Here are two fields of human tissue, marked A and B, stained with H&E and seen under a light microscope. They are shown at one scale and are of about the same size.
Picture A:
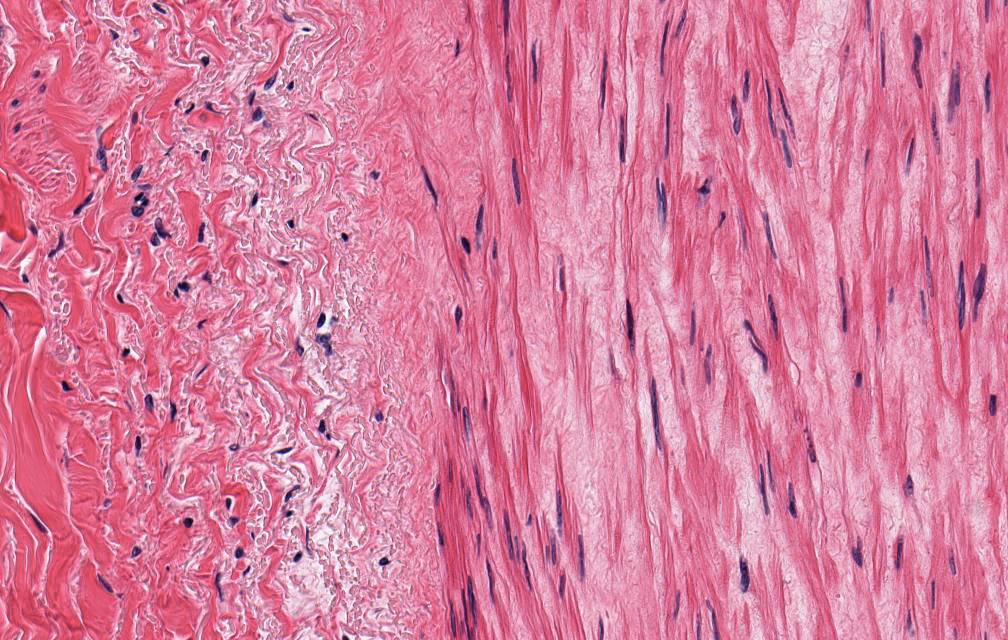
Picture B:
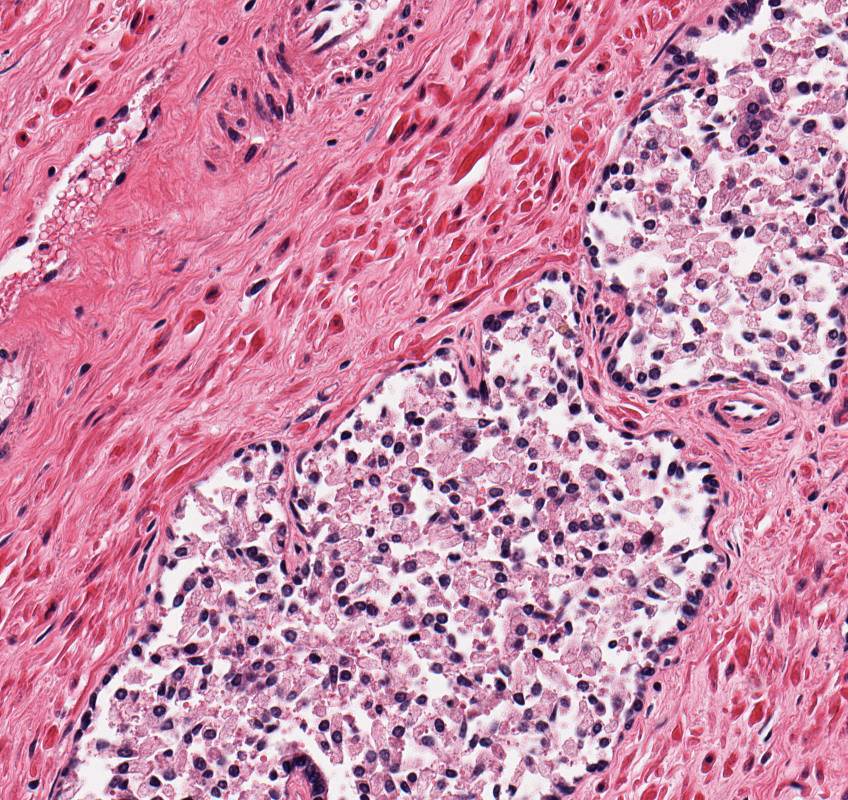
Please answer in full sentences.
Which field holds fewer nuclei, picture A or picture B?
Picture A holds fewer nuclei than picture B.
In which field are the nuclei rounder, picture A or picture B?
The nuclei are rounder in picture B.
